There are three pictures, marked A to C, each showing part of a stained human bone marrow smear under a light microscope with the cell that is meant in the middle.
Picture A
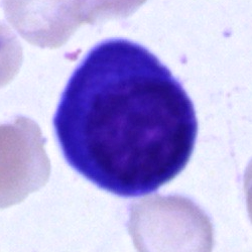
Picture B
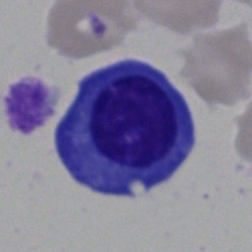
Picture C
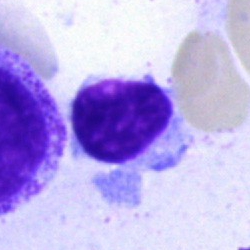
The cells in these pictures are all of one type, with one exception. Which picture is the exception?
C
